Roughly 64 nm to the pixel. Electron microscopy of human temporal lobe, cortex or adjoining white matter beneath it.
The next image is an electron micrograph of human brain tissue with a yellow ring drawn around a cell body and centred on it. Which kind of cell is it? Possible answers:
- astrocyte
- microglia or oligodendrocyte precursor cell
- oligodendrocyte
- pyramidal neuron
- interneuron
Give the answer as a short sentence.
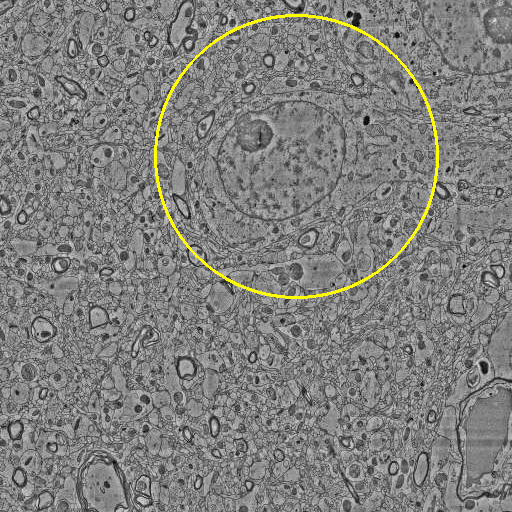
In the ring's centre is a pyramidal neuron.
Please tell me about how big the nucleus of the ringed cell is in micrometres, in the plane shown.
In this plane, the nucleus of the cell at the centre of the ring is about 8 micrometres across.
